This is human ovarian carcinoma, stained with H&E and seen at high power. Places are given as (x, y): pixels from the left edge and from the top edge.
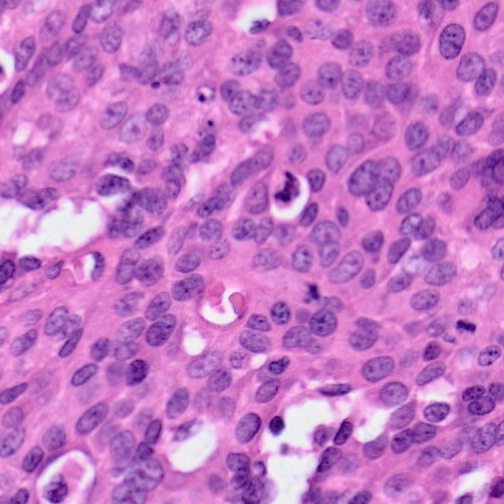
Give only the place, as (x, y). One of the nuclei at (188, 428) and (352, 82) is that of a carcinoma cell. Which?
(352, 82)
